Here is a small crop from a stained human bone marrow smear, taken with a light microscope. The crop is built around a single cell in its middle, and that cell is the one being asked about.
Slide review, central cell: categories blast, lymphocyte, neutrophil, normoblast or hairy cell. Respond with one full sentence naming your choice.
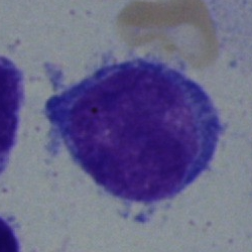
Standing at the centre of this crop is a blast.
